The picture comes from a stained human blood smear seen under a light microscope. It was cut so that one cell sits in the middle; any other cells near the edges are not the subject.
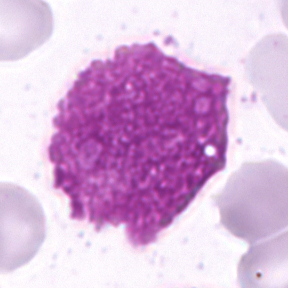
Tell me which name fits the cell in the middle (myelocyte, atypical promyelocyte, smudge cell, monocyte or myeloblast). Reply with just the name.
smudge cell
